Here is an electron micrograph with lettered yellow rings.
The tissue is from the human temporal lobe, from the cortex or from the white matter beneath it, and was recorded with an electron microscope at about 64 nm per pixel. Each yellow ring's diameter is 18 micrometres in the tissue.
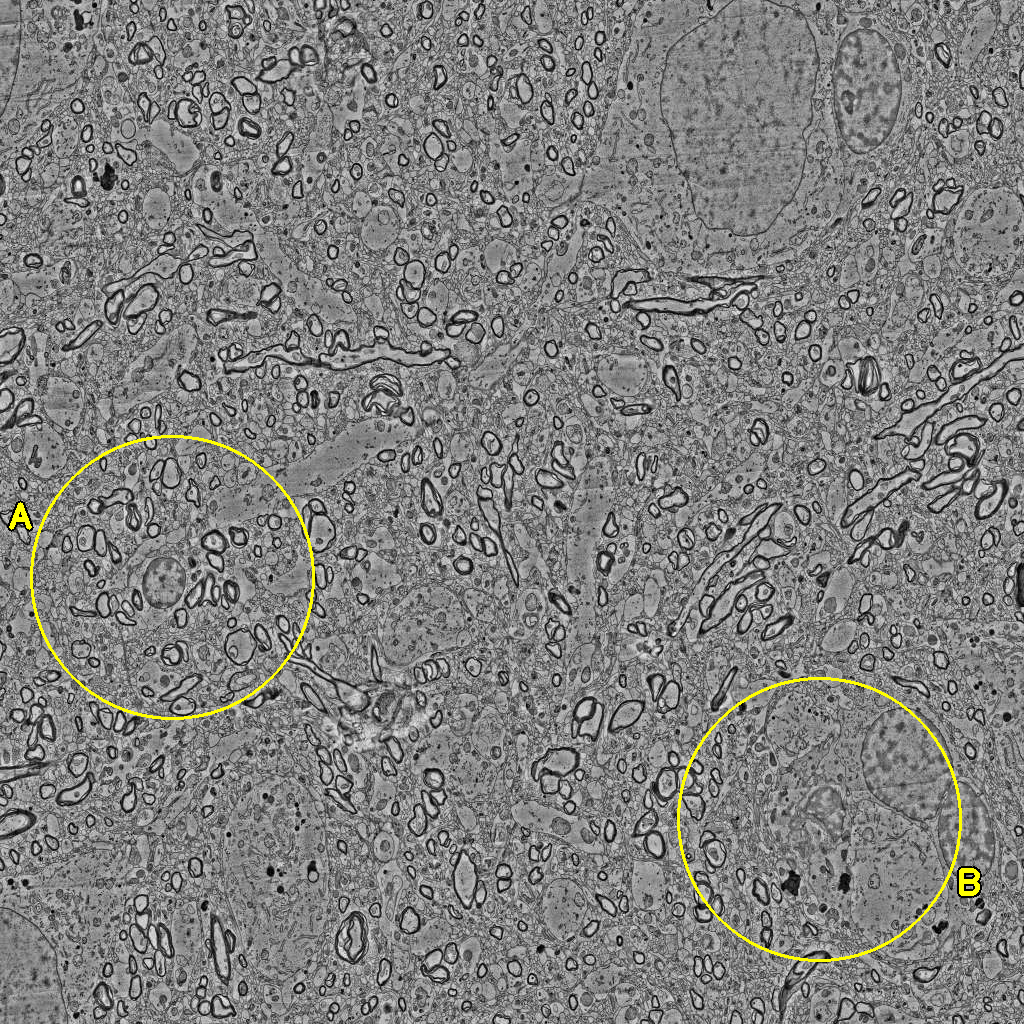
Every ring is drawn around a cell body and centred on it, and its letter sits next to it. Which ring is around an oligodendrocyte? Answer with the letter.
B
